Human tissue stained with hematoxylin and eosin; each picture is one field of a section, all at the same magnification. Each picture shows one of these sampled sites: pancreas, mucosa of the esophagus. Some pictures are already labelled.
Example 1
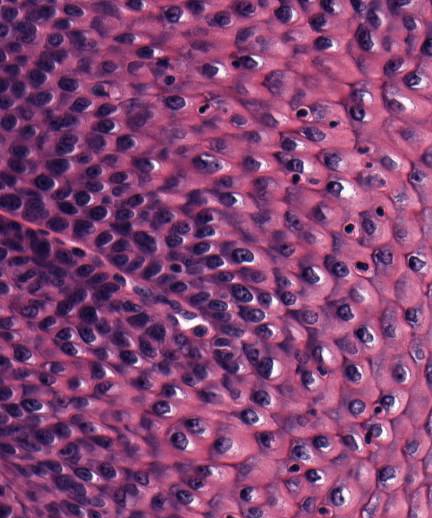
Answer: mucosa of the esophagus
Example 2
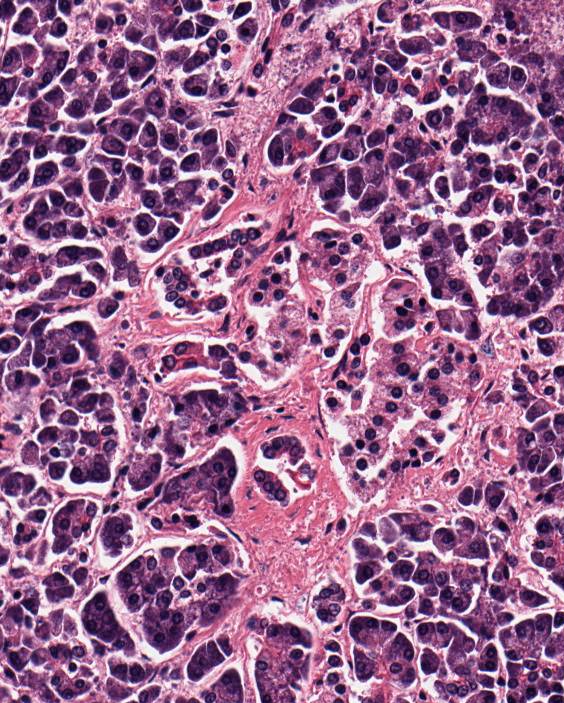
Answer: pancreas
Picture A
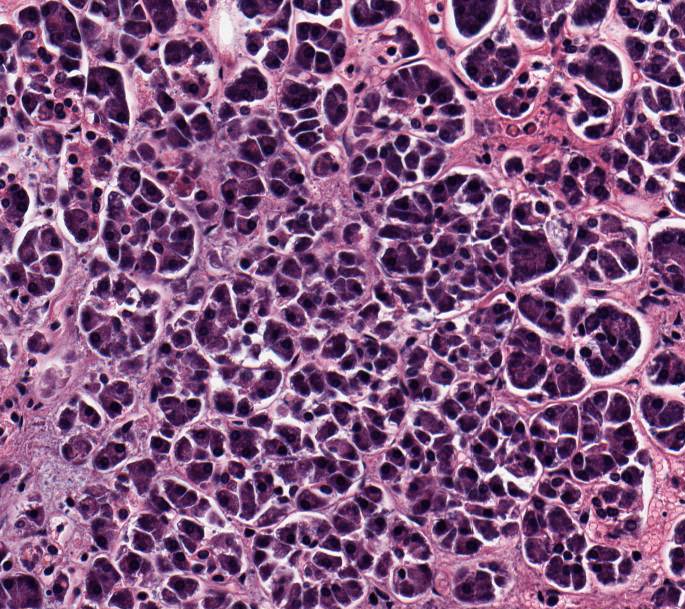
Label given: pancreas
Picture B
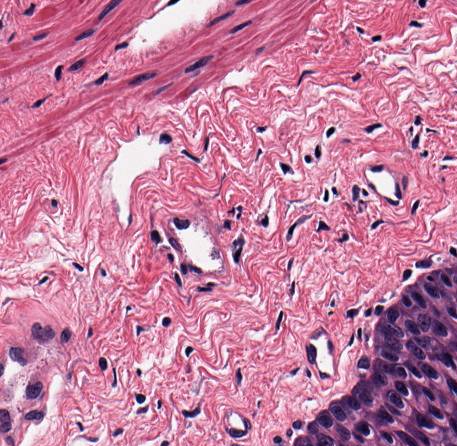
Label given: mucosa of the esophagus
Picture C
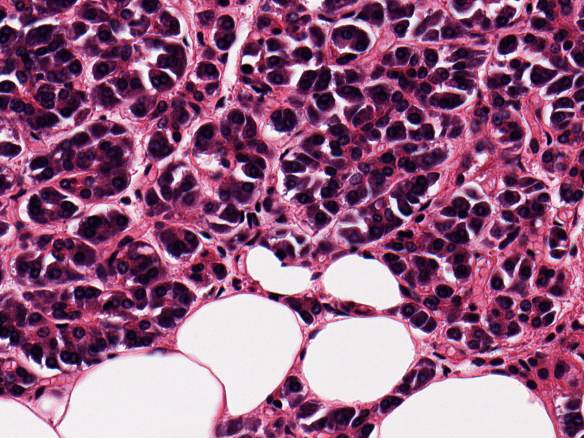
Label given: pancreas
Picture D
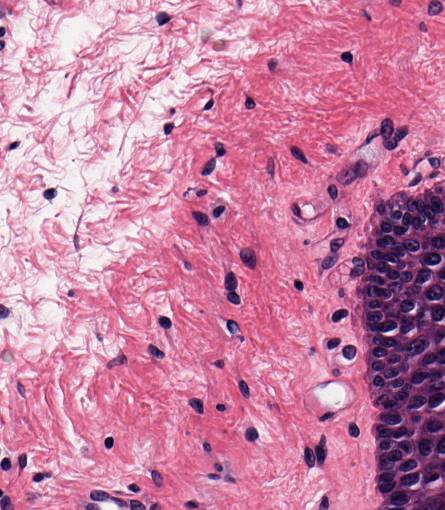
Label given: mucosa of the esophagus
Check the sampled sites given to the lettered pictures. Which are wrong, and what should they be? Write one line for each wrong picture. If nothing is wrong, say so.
All correct.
